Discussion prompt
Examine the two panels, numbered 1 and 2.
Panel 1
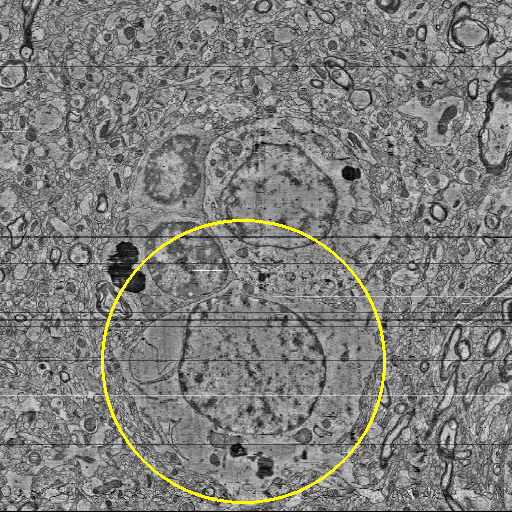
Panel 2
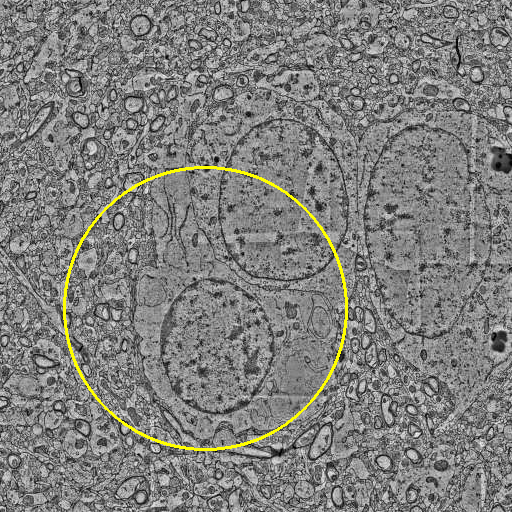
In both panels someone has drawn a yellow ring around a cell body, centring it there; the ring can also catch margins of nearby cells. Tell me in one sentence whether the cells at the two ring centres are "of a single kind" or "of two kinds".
Taken together, the two cells centred in the rings of Panels 1 and 2 are of a single kind.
